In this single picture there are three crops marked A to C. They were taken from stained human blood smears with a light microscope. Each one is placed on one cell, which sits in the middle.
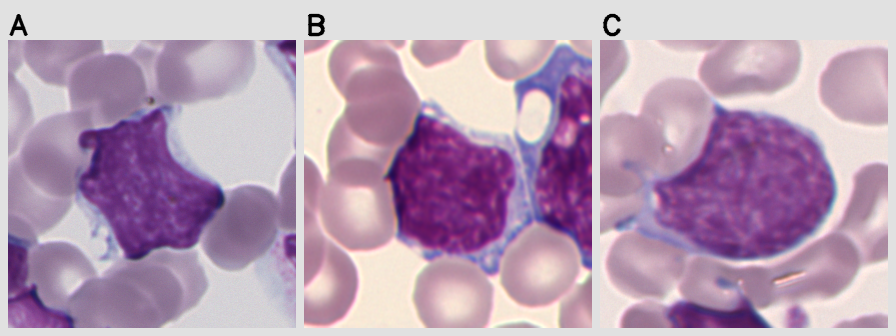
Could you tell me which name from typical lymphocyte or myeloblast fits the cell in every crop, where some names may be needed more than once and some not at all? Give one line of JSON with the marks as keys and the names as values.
{"A": "typical lymphocyte", "B": "typical lymphocyte", "C": "myeloblast"}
